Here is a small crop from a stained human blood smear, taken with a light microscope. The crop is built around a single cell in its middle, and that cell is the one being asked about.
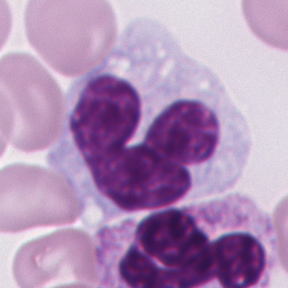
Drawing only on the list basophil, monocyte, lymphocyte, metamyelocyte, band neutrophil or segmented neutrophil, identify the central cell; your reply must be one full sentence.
The identification for the central cell is a monocyte.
